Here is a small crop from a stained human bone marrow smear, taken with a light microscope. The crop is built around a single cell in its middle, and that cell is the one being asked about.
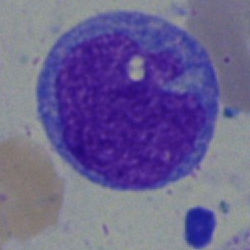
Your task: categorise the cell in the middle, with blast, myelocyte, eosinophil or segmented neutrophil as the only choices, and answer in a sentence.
For this crop, the cell in the middle is a blast.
